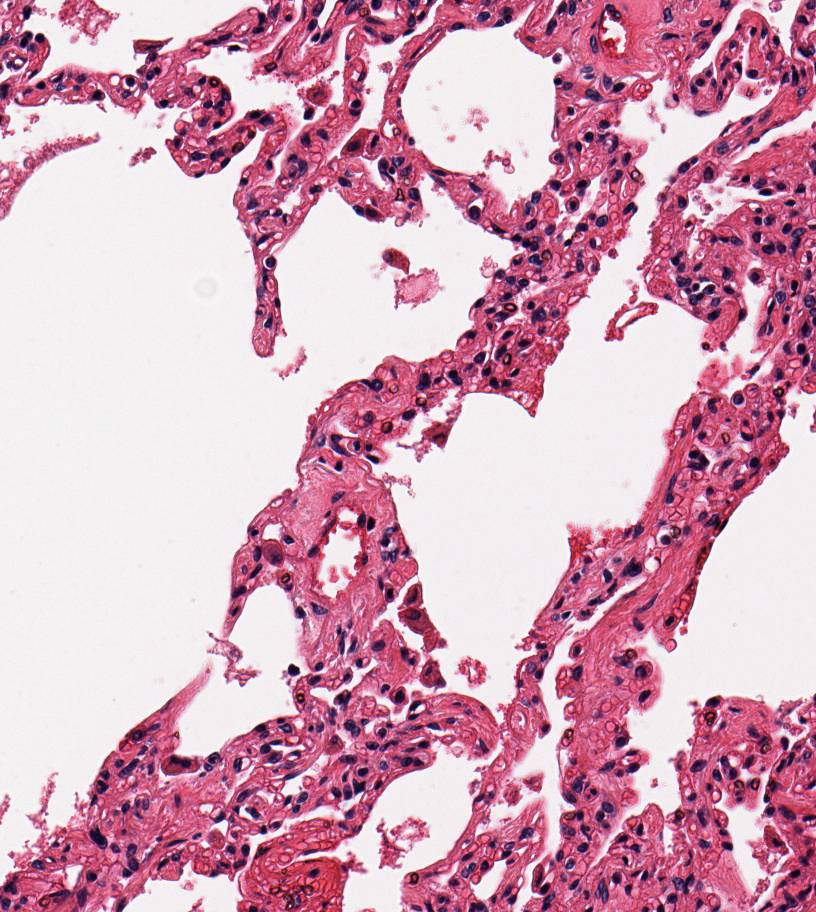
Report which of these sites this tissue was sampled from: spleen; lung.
lung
